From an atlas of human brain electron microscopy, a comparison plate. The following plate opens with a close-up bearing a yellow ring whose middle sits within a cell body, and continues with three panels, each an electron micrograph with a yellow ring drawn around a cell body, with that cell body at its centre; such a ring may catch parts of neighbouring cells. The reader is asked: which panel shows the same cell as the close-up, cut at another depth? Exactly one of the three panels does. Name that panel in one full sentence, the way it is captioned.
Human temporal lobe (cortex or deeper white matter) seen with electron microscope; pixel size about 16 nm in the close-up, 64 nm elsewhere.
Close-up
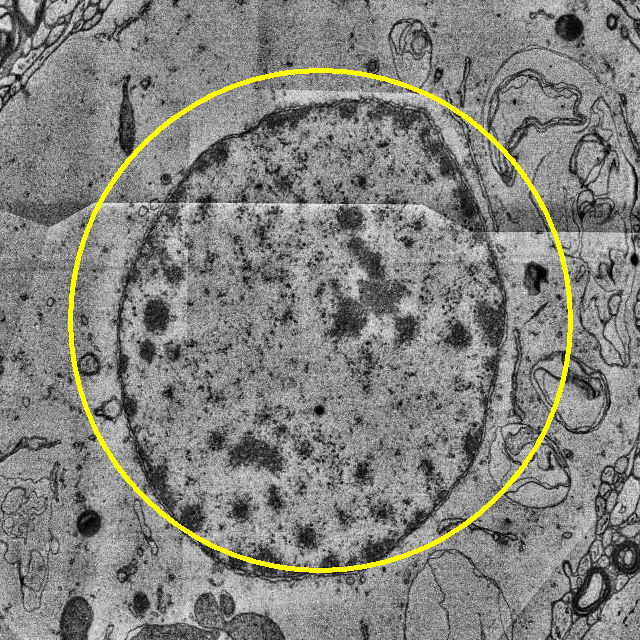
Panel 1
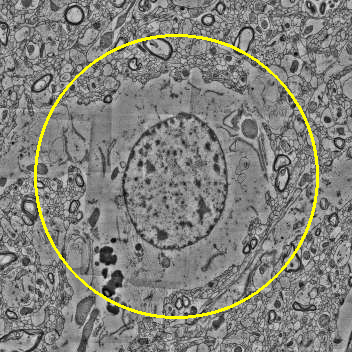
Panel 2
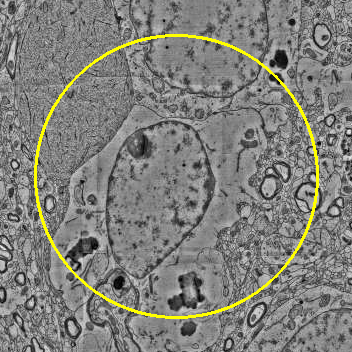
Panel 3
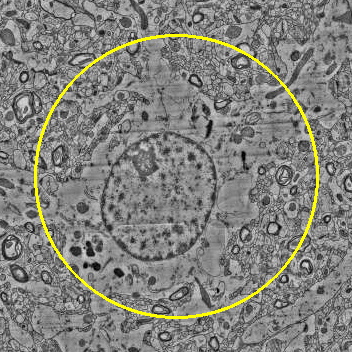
The cell within the yellow ring of Panel 1 is the one in the close-up.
